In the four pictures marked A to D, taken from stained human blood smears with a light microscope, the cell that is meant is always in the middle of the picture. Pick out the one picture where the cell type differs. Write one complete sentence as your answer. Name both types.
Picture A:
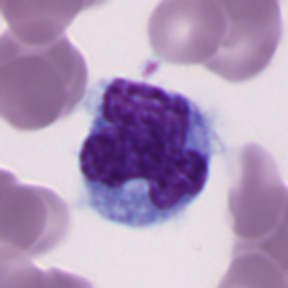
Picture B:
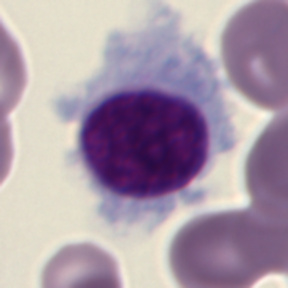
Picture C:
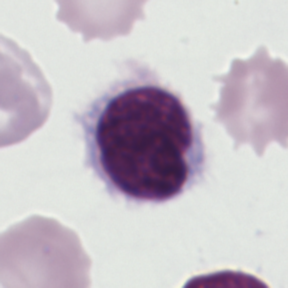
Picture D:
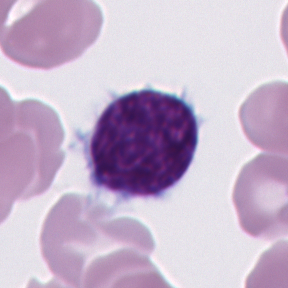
All pictures except A show hairy cells; picture A shows a monocyte.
